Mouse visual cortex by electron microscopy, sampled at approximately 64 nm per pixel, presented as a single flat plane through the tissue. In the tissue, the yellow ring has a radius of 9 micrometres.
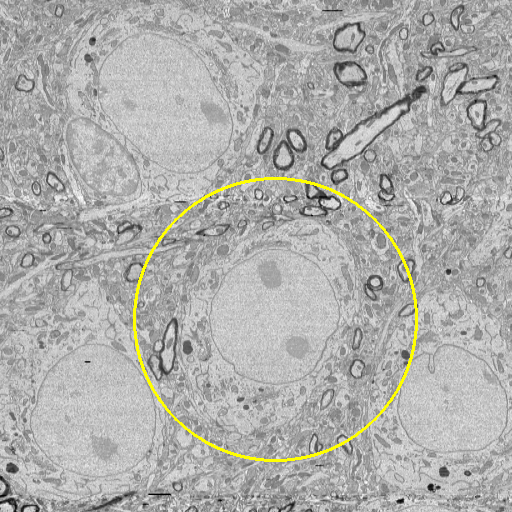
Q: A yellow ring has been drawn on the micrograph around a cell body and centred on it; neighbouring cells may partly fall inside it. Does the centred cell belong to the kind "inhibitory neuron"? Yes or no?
No, it belongs to another kind.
